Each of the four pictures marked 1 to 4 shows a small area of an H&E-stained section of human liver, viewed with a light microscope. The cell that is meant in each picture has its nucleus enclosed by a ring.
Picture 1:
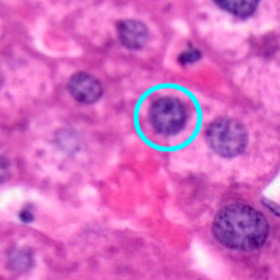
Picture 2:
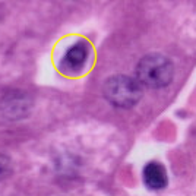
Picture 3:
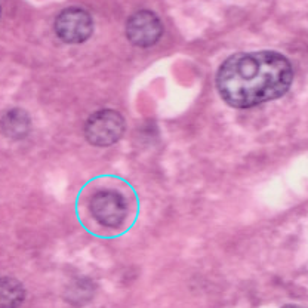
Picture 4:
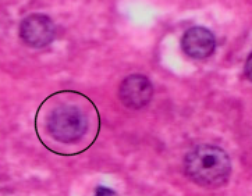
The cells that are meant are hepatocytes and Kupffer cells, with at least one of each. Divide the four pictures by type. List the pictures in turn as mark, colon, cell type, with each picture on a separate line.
1: hepatocyte
2: Kupffer cell
3: hepatocyte
4: hepatocyte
